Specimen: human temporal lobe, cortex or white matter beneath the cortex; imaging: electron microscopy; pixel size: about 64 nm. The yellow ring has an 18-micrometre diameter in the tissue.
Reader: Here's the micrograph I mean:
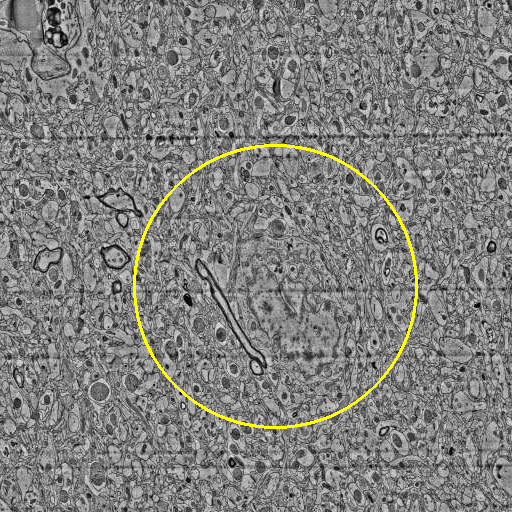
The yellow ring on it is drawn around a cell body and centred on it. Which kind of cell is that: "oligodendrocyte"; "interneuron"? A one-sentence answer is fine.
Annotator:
The ring is centred on an interneuron.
